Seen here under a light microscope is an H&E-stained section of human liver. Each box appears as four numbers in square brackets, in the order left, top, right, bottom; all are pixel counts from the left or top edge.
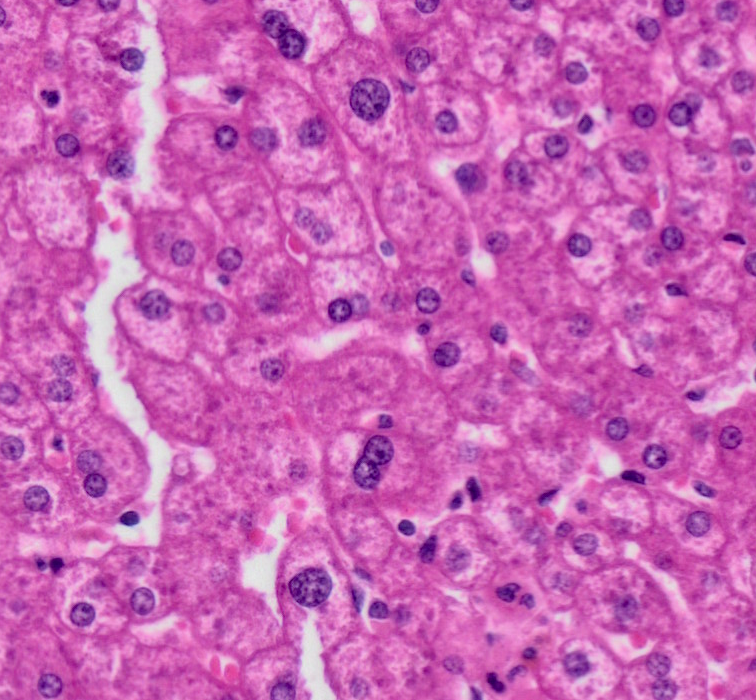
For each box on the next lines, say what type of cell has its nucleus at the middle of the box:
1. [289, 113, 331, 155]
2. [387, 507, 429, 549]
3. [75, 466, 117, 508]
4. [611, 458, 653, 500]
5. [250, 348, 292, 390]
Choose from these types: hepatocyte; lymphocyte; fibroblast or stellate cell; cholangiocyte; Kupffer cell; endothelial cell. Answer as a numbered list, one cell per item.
1. hepatocyte
2. lymphocyte
3. hepatocyte
4. fibroblast or stellate cell
5. hepatocyte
